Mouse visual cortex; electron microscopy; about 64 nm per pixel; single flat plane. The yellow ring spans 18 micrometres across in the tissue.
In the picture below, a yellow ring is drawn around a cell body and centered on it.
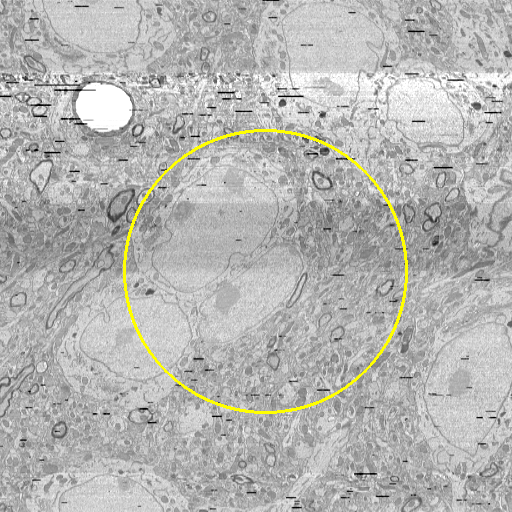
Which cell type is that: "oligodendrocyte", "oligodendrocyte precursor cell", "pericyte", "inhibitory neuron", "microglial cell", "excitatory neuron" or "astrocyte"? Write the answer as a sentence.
The cell centered in the ring is an oligodendrocyte precursor cell.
